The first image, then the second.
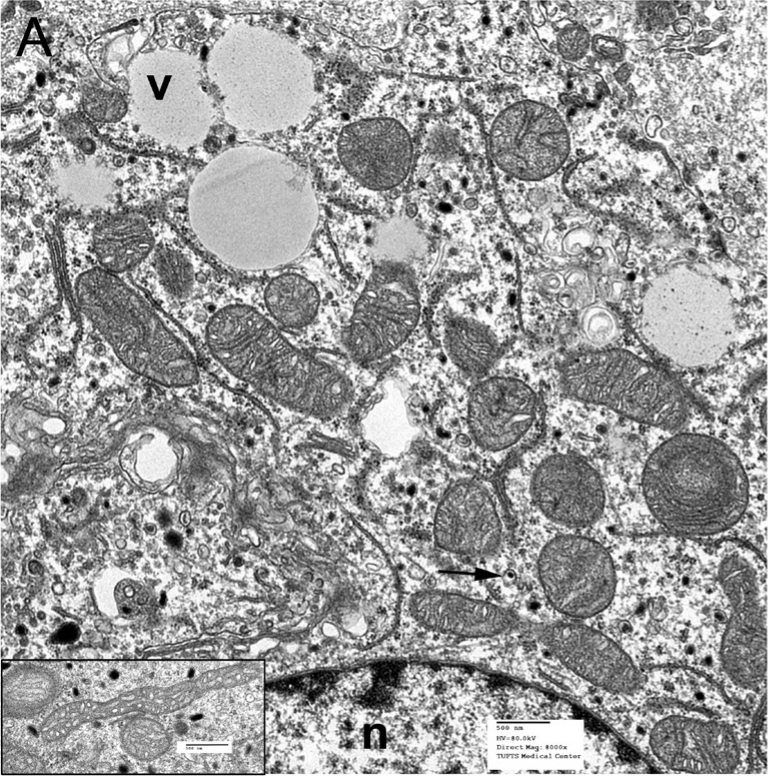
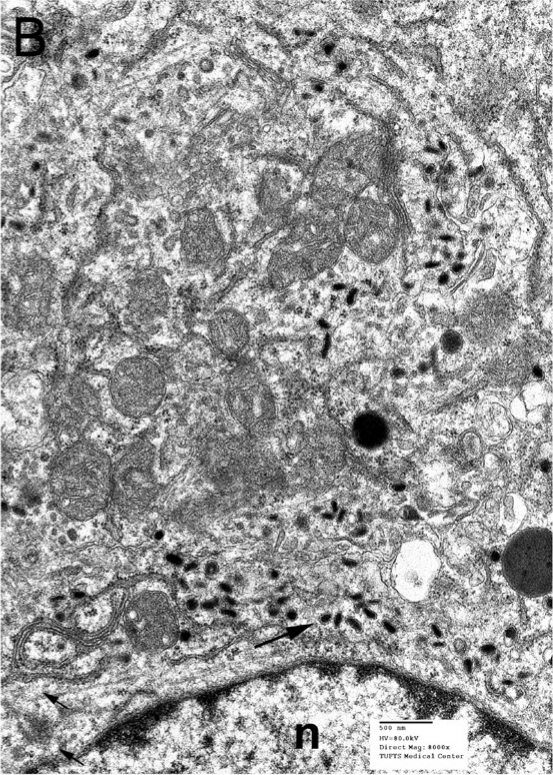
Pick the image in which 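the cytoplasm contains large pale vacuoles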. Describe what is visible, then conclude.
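Second image: no large pale round vacuoles; the cytoplasm is filled with mitochondria, membranes and many small dense granules. First image: several large round pale vacuoles lie in the upper cytoplasm. That points to this answer: the first image.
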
